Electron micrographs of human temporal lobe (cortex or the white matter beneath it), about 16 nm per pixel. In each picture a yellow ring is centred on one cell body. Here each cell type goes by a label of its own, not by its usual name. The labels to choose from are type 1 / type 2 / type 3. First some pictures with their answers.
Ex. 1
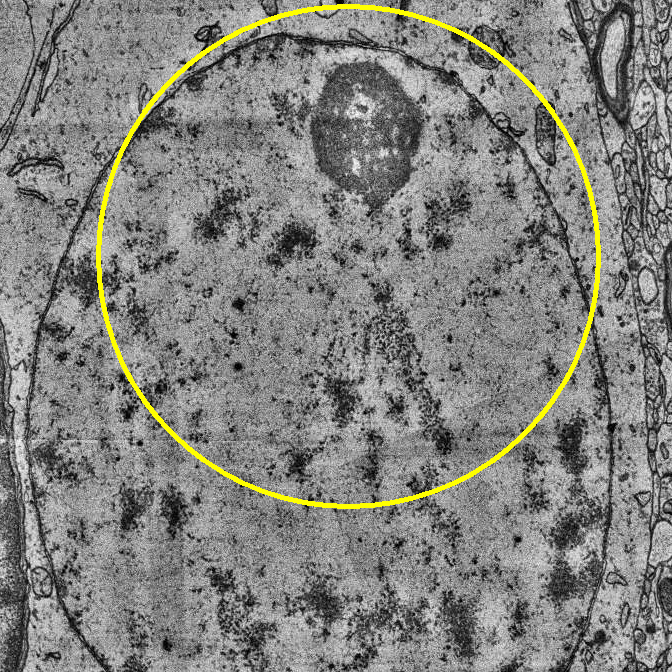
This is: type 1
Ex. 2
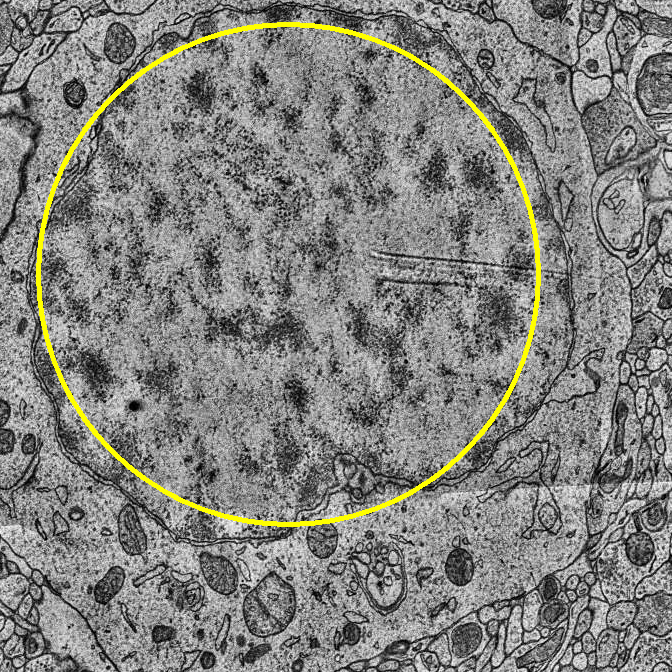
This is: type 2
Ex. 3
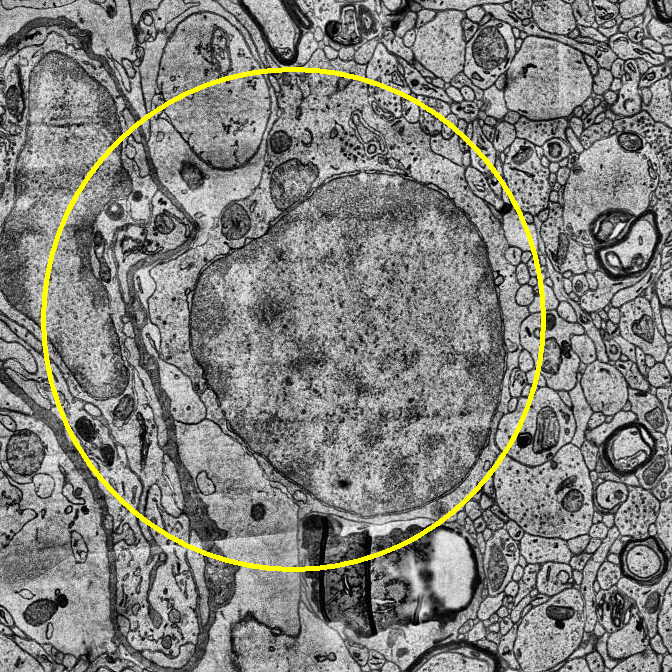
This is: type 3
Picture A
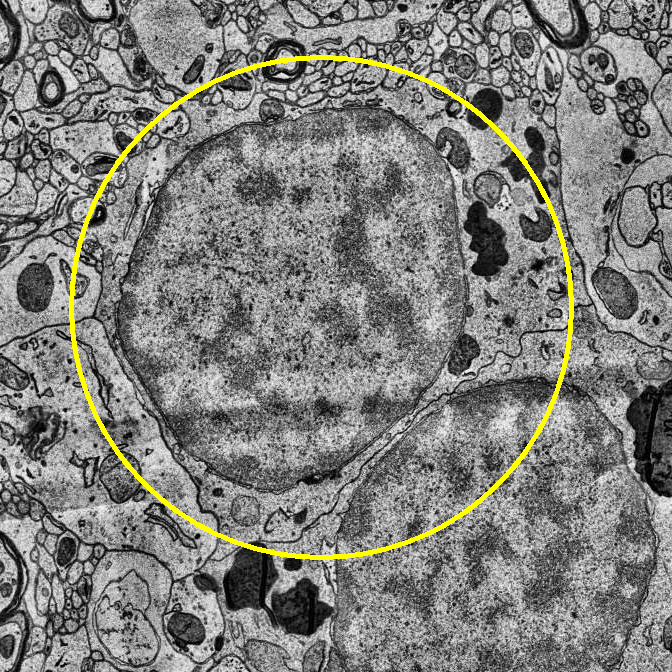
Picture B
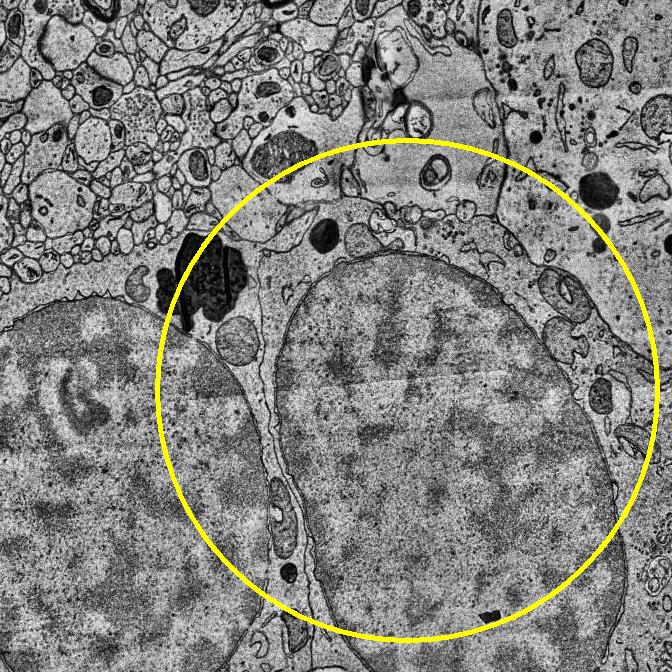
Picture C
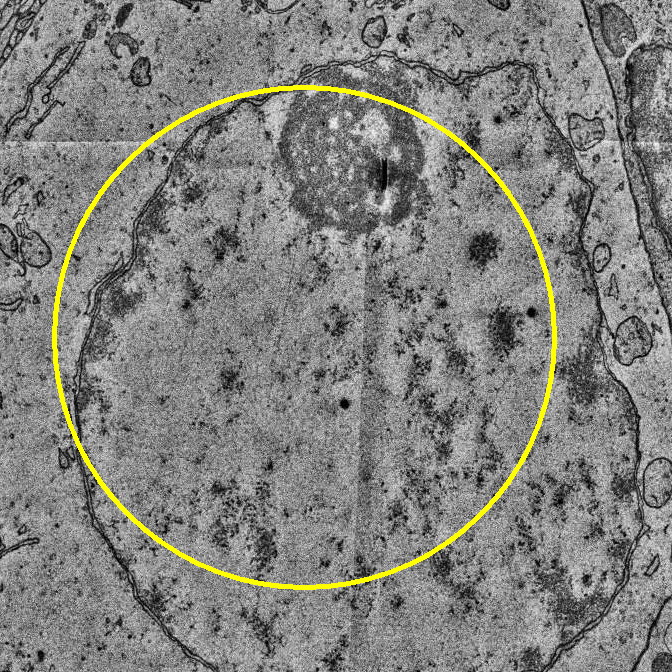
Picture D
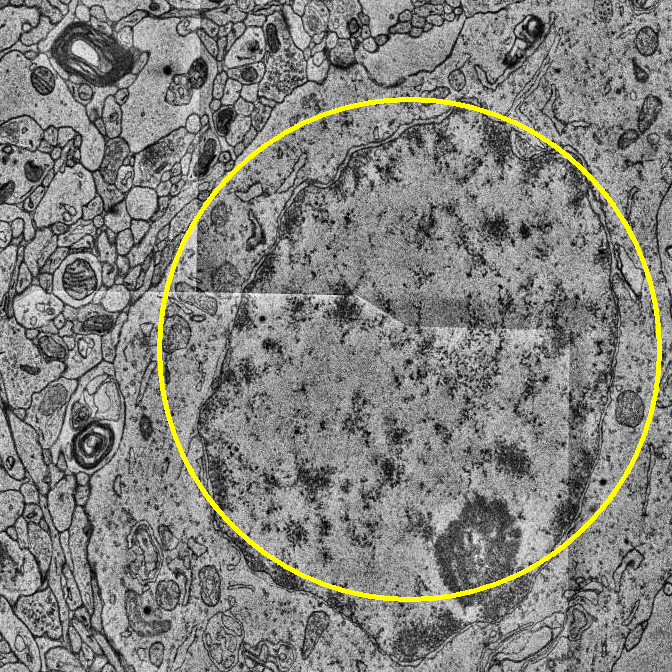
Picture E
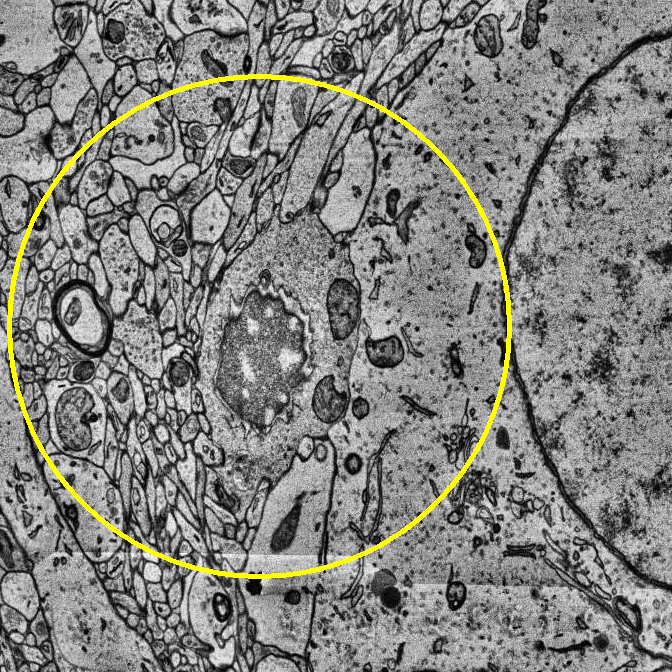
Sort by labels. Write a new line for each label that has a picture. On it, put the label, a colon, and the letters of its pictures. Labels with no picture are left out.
type 2: C, D
type 3: A, B, E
